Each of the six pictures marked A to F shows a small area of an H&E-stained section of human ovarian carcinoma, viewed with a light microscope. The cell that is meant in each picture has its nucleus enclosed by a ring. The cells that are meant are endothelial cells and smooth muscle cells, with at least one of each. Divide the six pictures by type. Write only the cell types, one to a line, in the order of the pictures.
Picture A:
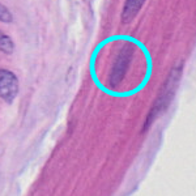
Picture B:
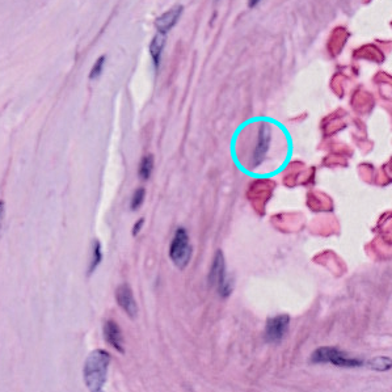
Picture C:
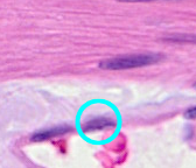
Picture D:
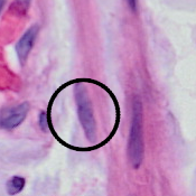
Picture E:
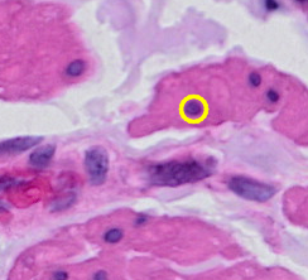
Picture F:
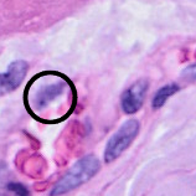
smooth muscle cell
endothelial cell
endothelial cell
smooth muscle cell
smooth muscle cell
endothelial cell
